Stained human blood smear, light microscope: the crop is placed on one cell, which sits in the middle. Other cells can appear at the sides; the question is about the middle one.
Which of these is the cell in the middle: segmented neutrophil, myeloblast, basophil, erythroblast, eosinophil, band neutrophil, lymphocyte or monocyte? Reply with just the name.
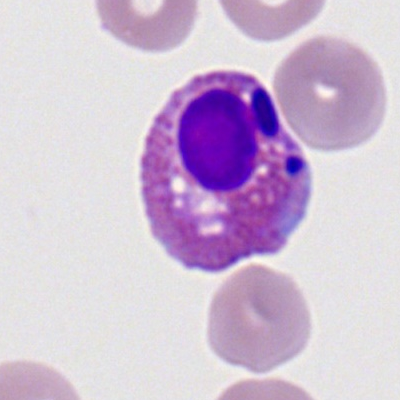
eosinophil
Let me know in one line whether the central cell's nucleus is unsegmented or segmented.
A single compact nucleus is present, shaped round, oval or like a kidney.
